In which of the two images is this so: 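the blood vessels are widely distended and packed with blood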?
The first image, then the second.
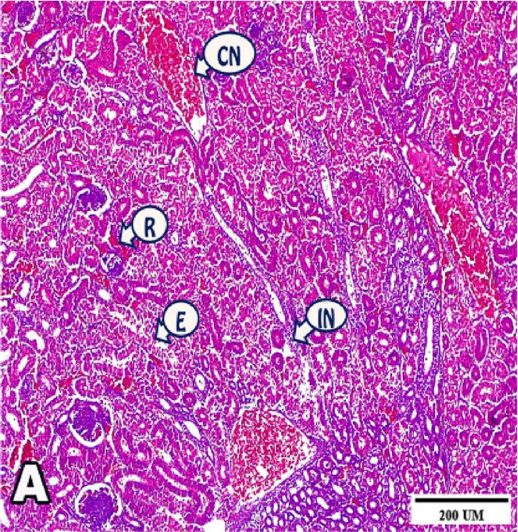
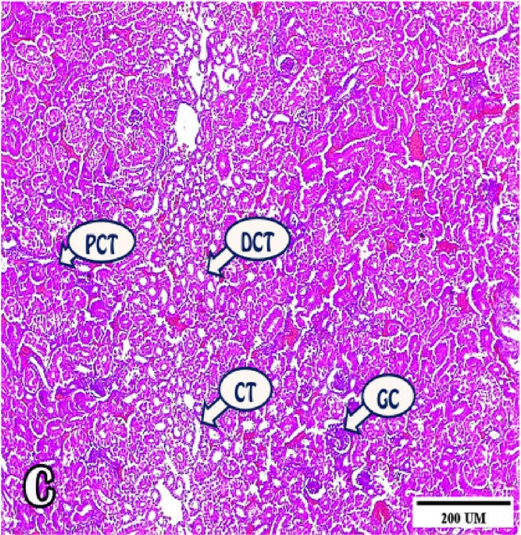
the first image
